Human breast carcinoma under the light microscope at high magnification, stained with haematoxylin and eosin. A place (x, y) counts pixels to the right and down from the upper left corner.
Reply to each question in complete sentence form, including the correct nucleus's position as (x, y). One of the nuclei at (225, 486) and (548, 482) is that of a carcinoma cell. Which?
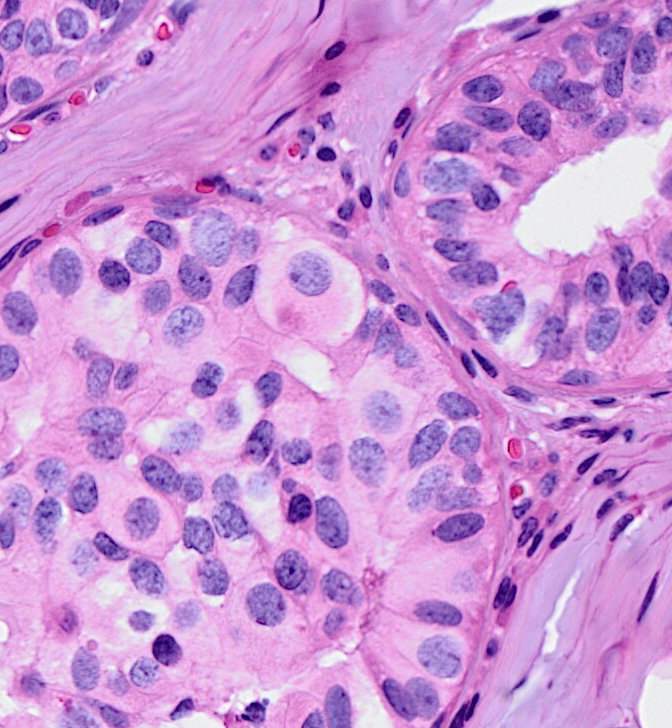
Of the two, the nucleus lying at (225, 486) is the one belonging to a carcinoma cell.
